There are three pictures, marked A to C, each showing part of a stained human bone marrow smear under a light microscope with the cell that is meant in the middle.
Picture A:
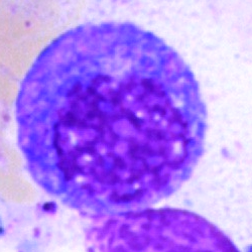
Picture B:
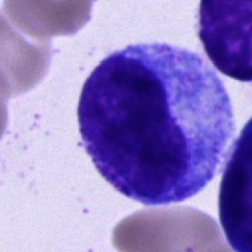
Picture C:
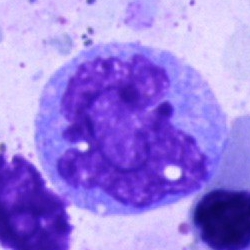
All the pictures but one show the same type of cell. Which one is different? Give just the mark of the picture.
C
